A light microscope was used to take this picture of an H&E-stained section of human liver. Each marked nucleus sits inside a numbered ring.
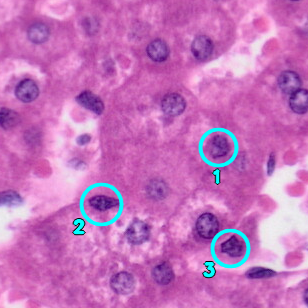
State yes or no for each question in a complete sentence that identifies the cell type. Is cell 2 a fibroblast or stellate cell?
Yes, in the section, number 2 is a fibroblast or stellate cell.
